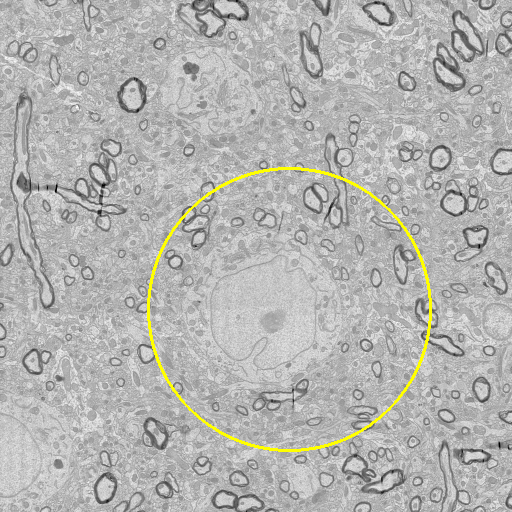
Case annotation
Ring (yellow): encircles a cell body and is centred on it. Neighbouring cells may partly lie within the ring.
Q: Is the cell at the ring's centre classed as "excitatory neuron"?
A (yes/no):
yes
